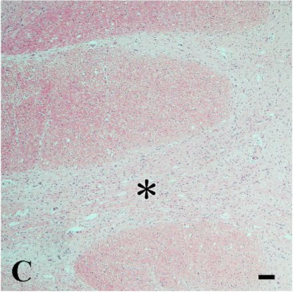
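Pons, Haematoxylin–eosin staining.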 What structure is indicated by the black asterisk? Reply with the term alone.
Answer: Transvers fibres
